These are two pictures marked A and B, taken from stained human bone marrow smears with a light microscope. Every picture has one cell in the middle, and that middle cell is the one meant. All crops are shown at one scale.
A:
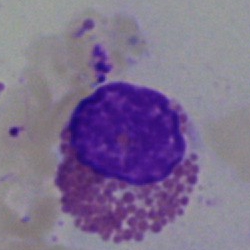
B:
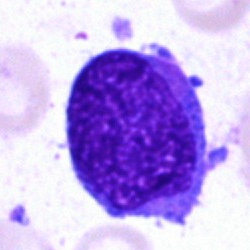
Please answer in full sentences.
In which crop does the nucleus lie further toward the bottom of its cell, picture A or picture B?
The nucleus in picture B lies further toward the bottom of its cell.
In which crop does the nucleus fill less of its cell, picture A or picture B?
The nucleus fills less of the cell in picture A than in picture B.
